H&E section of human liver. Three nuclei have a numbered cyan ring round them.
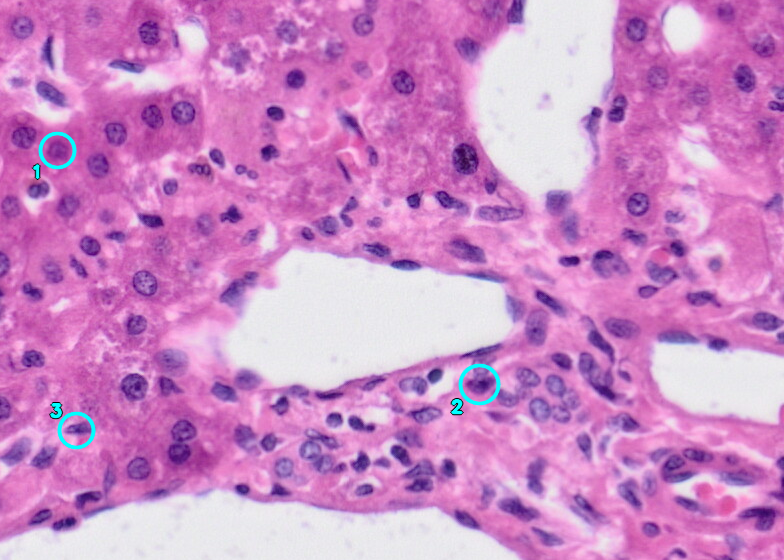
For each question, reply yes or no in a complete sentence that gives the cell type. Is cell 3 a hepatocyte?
No, cell 3 is a fibroblast or stellate cell and should not be called a hepatocyte.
